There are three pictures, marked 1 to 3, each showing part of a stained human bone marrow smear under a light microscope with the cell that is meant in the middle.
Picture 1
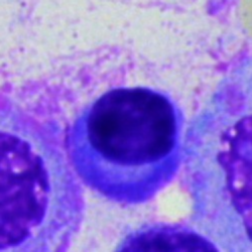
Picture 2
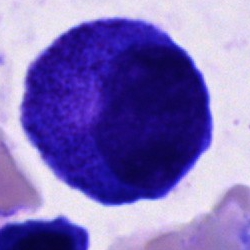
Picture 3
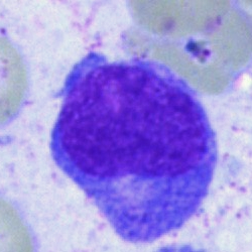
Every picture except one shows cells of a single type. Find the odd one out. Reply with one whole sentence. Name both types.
The different one is picture 1; it shows a plasma cell, whereas all the others show promyelocytes.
